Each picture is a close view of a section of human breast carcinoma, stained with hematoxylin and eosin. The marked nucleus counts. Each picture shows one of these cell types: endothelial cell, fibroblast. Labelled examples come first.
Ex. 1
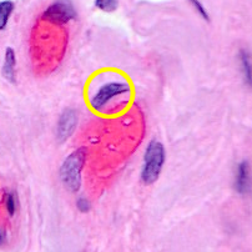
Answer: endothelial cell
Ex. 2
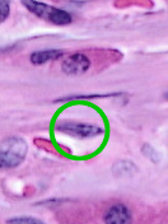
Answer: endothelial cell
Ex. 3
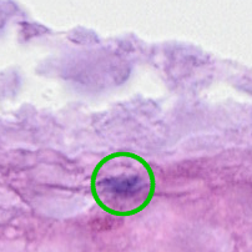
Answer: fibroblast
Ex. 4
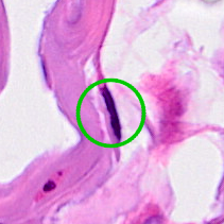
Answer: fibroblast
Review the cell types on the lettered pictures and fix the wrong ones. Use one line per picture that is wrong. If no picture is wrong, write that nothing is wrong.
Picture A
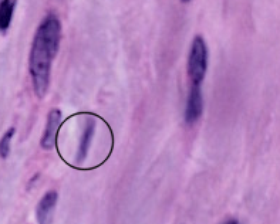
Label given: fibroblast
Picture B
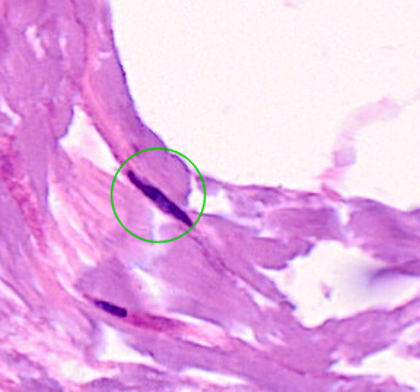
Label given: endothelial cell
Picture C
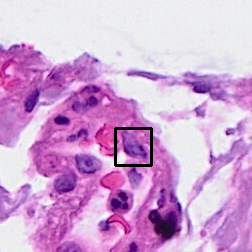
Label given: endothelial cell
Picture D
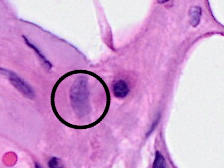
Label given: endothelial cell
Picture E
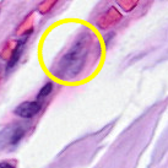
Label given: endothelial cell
B should be fibroblast, not endothelial cell
D should be fibroblast, not endothelial cell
